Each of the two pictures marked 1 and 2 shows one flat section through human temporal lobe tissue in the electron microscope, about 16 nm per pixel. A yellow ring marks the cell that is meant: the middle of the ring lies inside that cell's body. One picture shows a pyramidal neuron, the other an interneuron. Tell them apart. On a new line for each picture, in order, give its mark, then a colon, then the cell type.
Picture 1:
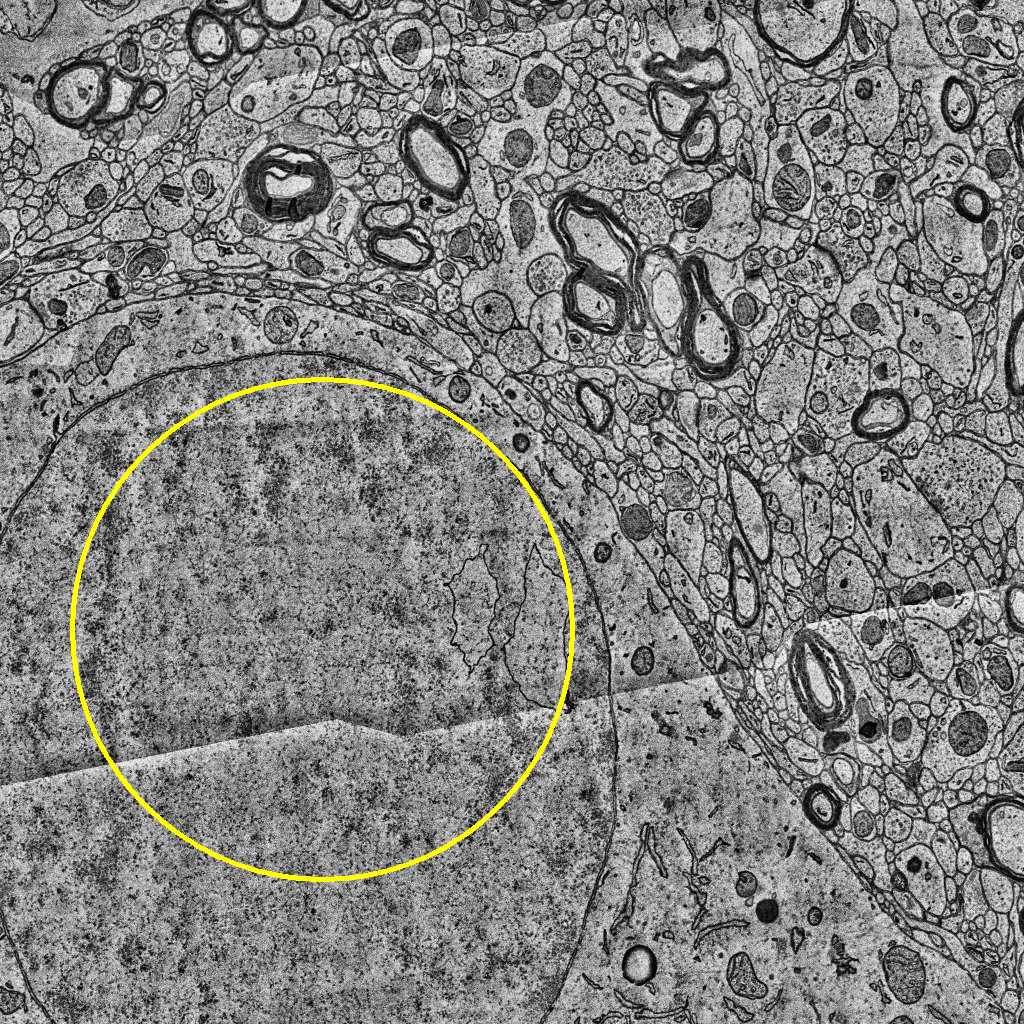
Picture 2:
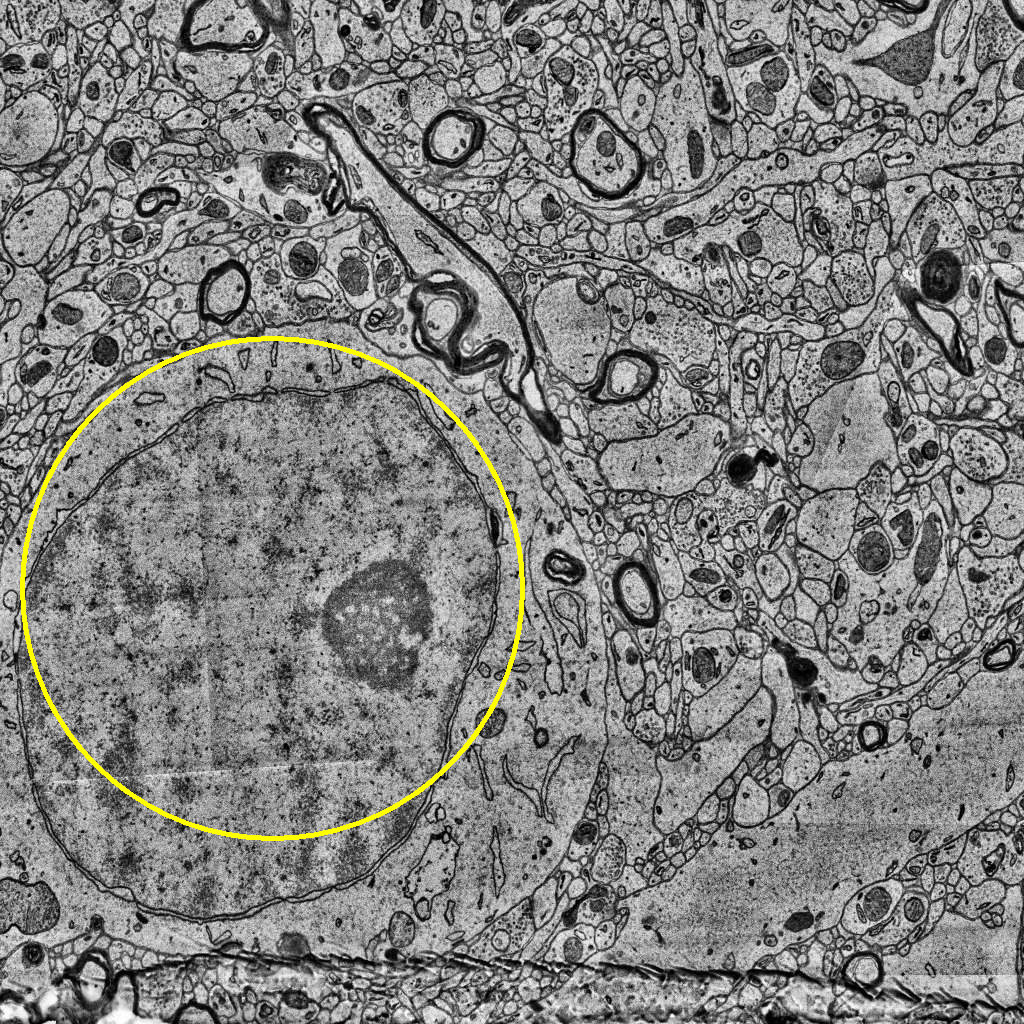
1: pyramidal neuron
2: interneuron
